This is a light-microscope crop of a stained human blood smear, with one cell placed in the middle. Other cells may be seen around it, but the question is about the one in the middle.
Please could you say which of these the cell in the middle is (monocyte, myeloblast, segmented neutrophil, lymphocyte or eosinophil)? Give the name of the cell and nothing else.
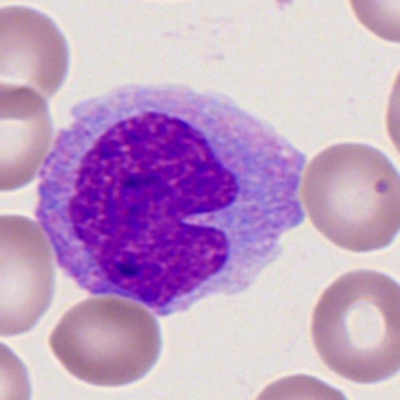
monocyte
